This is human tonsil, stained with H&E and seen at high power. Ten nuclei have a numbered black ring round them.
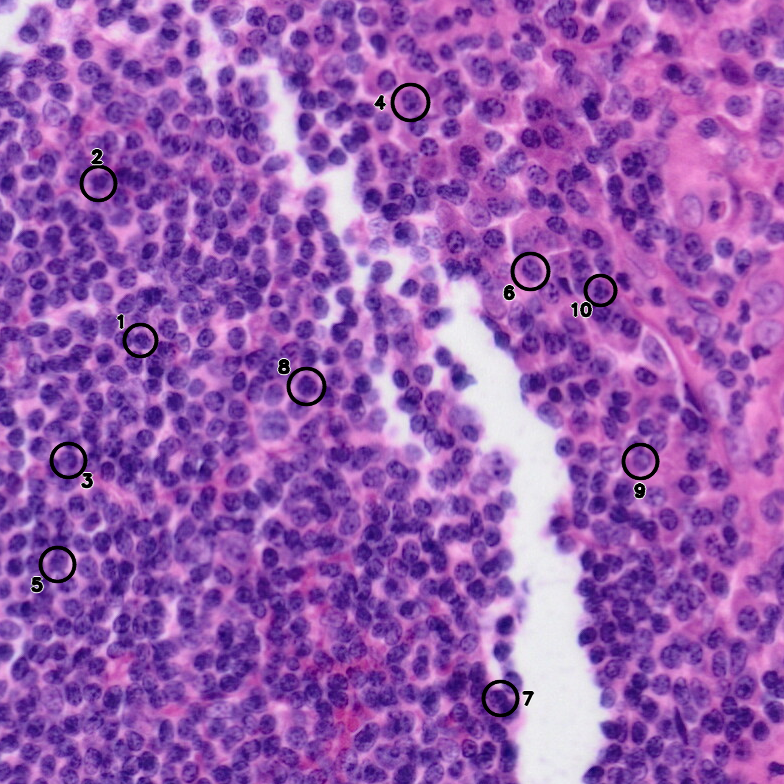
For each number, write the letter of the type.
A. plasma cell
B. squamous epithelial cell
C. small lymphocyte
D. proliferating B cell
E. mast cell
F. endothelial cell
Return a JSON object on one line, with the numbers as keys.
{"1": "C", "2": "C", "3": "C", "4": "A", "5": "C", "6": "A", "7": "C", "8": "C", "9": "A", "10": "A"}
